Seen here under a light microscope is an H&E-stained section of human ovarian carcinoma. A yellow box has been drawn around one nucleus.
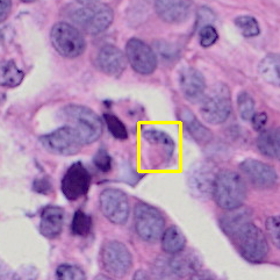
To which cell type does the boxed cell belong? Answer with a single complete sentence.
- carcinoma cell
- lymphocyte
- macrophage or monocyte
So far as cell type goes, the boxed cell is a macrophage or monocyte.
